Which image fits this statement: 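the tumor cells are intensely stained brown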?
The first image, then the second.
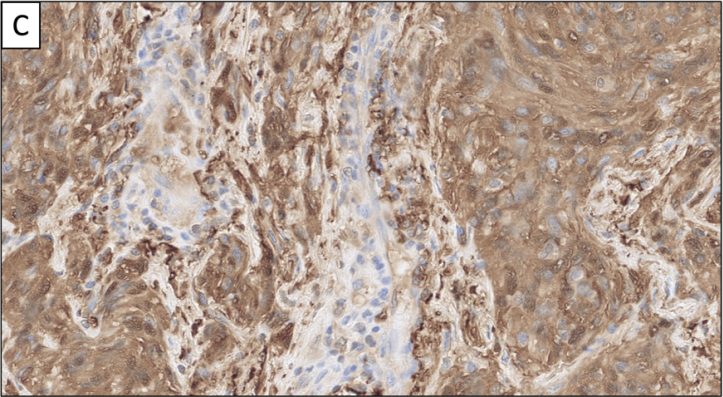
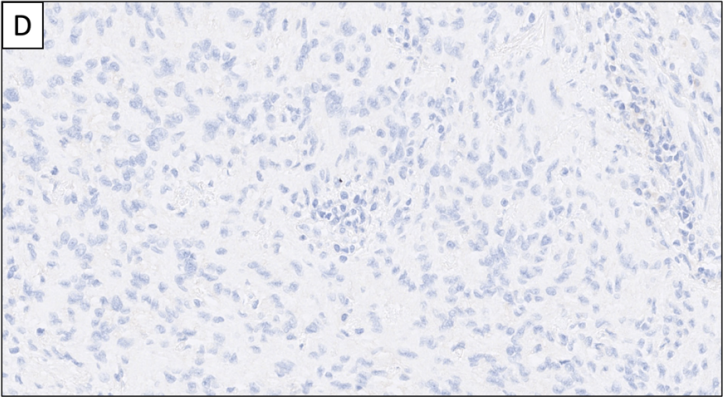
the first image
